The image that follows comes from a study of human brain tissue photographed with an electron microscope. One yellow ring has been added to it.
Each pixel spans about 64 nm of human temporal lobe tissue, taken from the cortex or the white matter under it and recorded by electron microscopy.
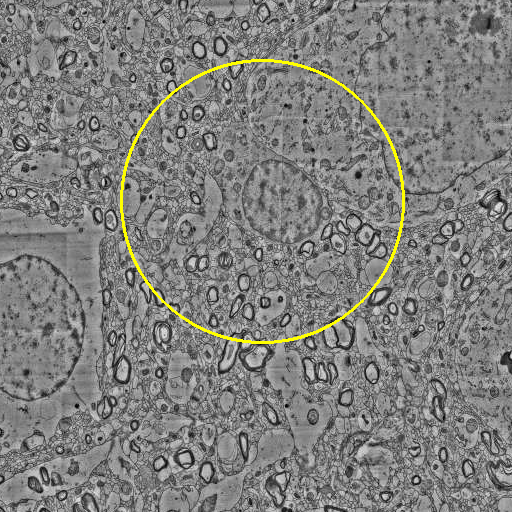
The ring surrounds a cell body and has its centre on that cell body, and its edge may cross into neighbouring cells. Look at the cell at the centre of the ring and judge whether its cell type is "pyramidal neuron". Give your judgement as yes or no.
no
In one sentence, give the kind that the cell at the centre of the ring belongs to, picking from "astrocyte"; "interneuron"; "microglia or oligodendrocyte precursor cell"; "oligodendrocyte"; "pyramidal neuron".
Here, the ring is centred on an oligodendrocyte instead.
